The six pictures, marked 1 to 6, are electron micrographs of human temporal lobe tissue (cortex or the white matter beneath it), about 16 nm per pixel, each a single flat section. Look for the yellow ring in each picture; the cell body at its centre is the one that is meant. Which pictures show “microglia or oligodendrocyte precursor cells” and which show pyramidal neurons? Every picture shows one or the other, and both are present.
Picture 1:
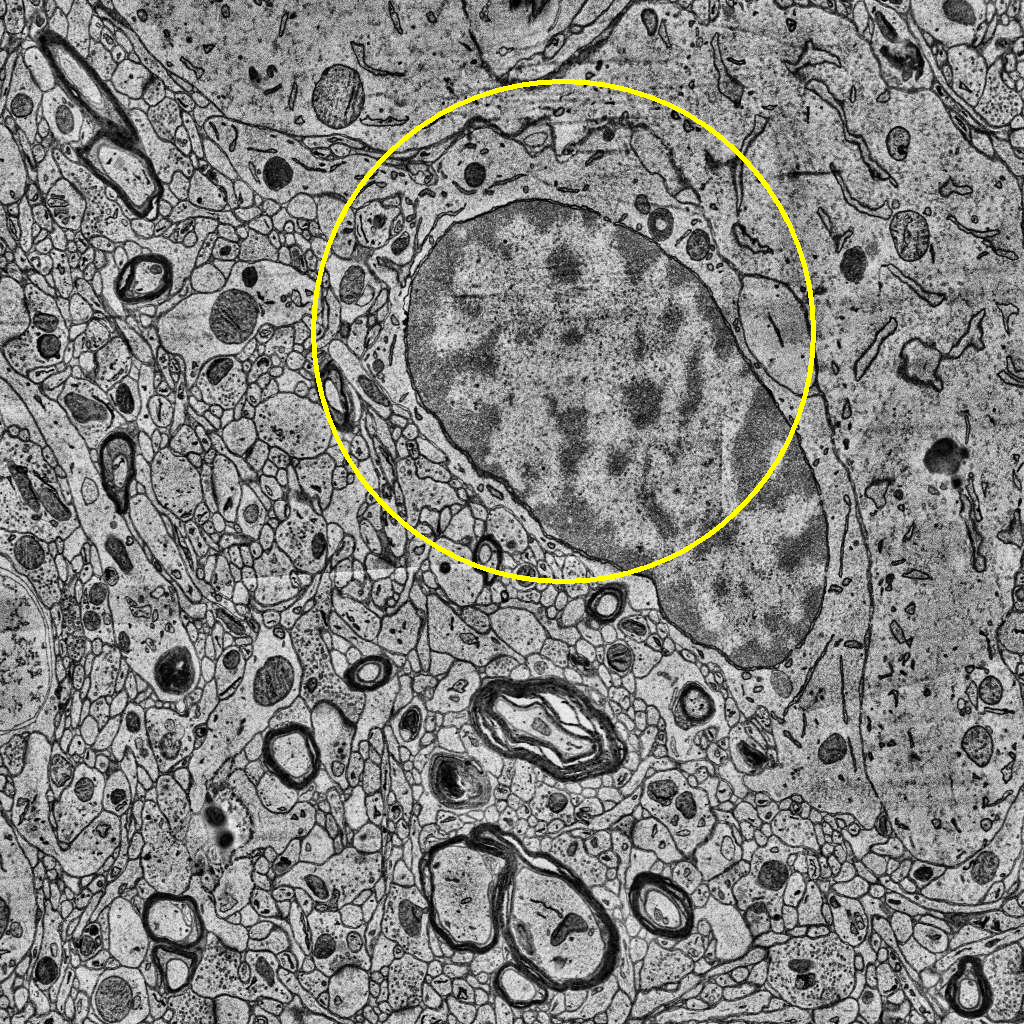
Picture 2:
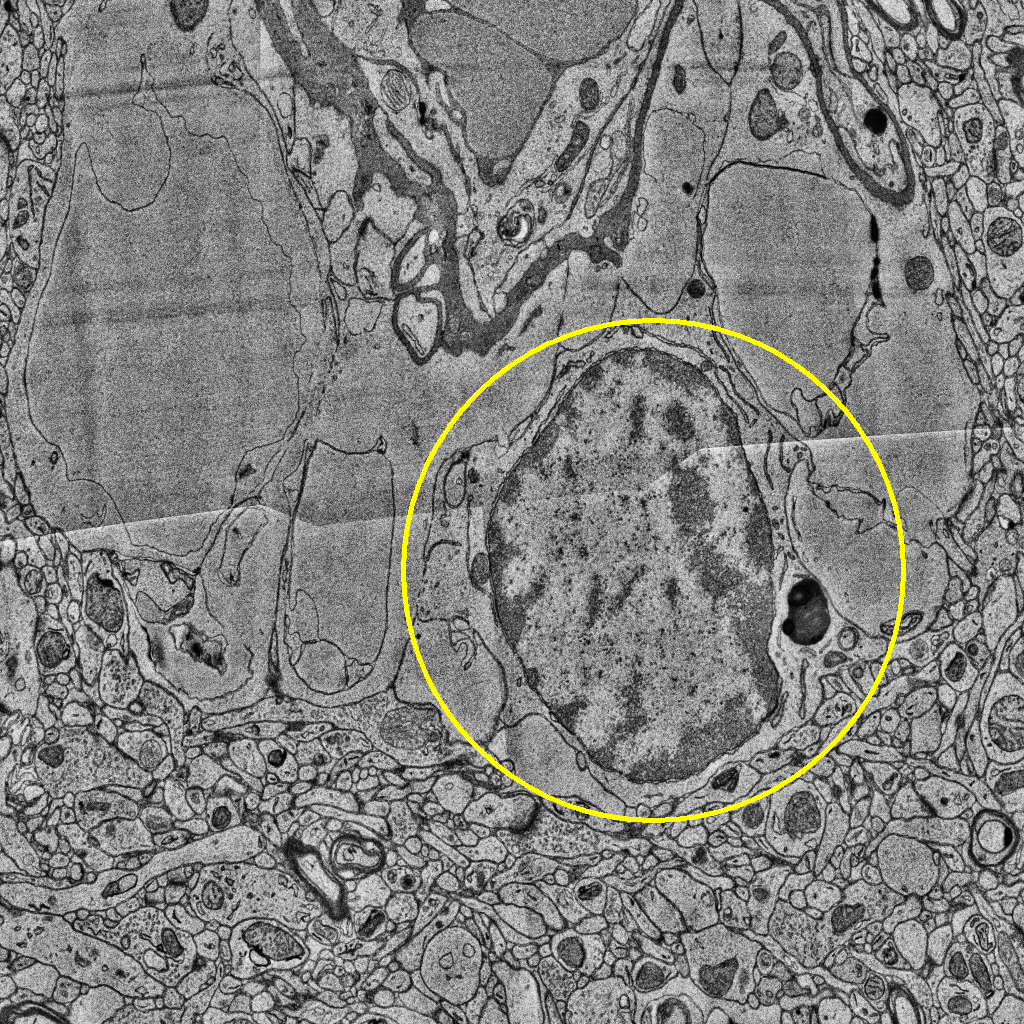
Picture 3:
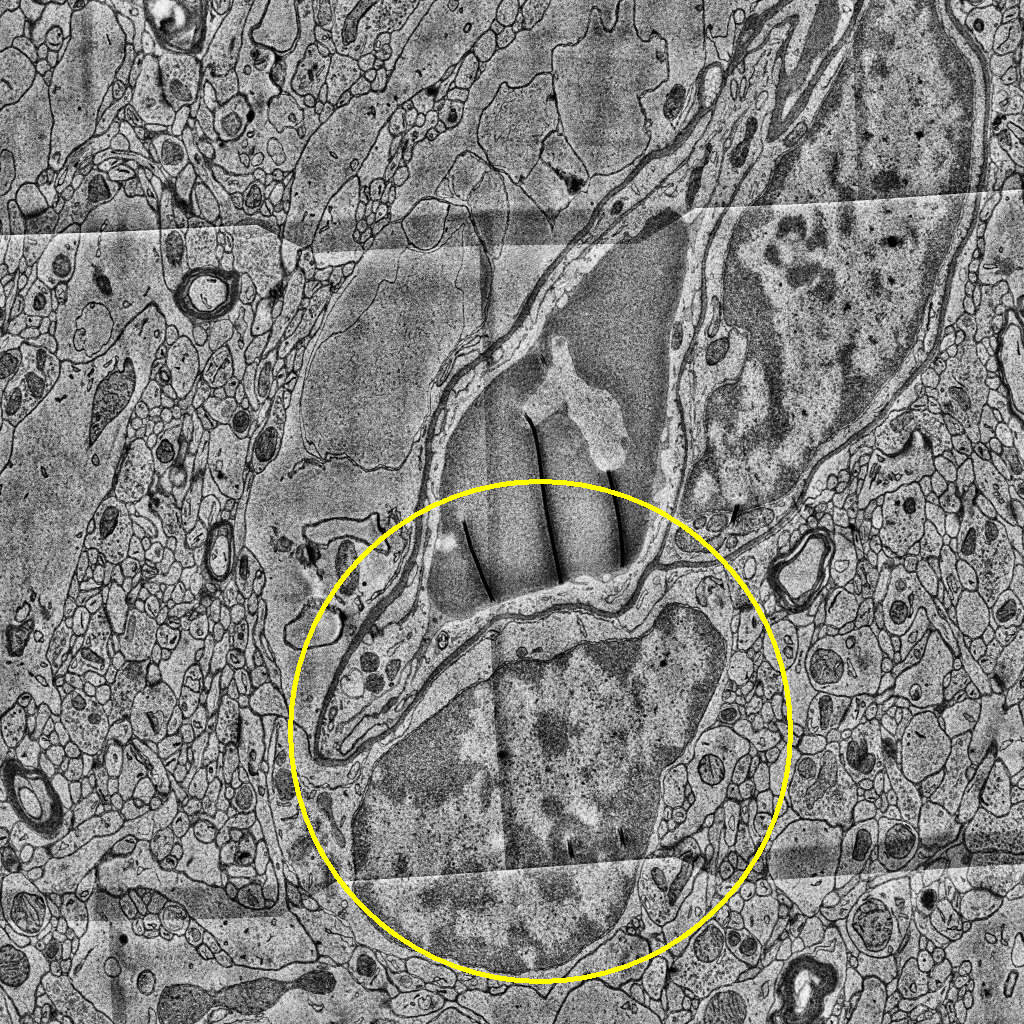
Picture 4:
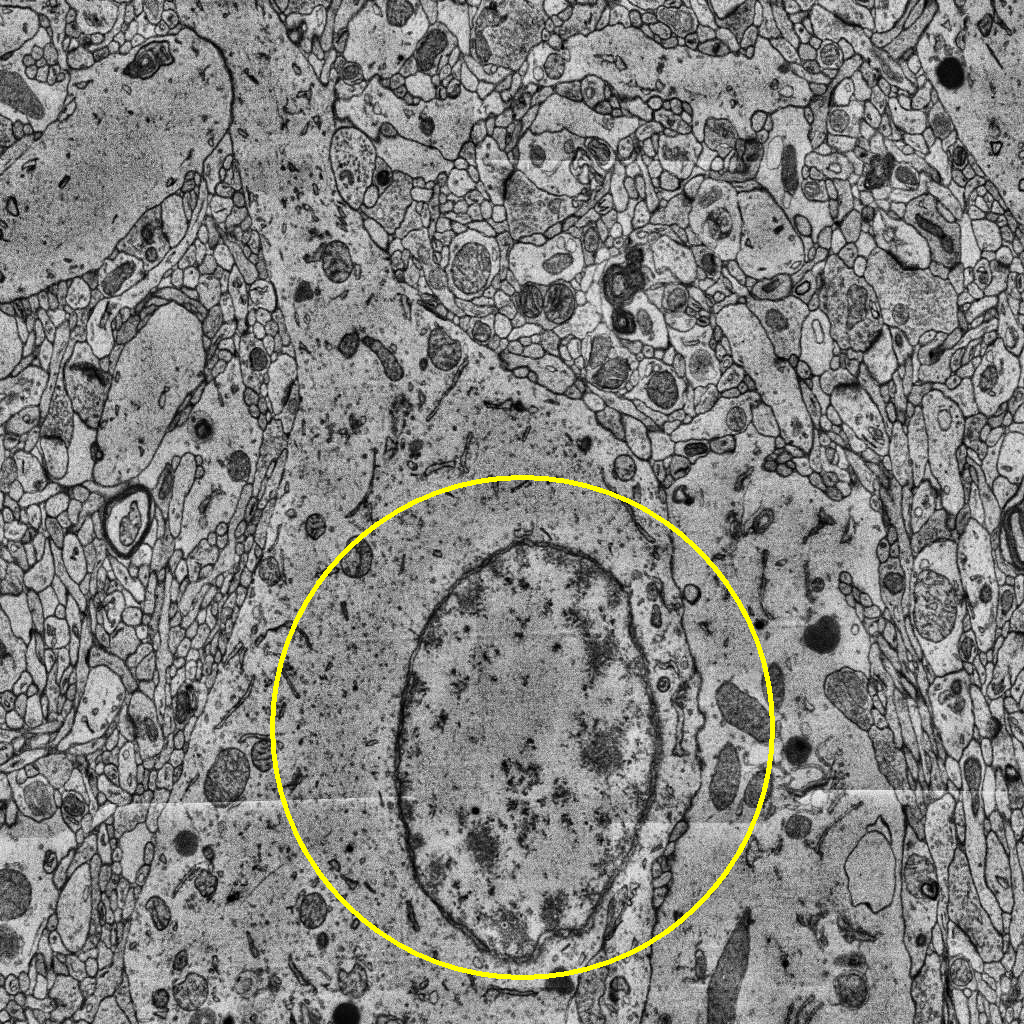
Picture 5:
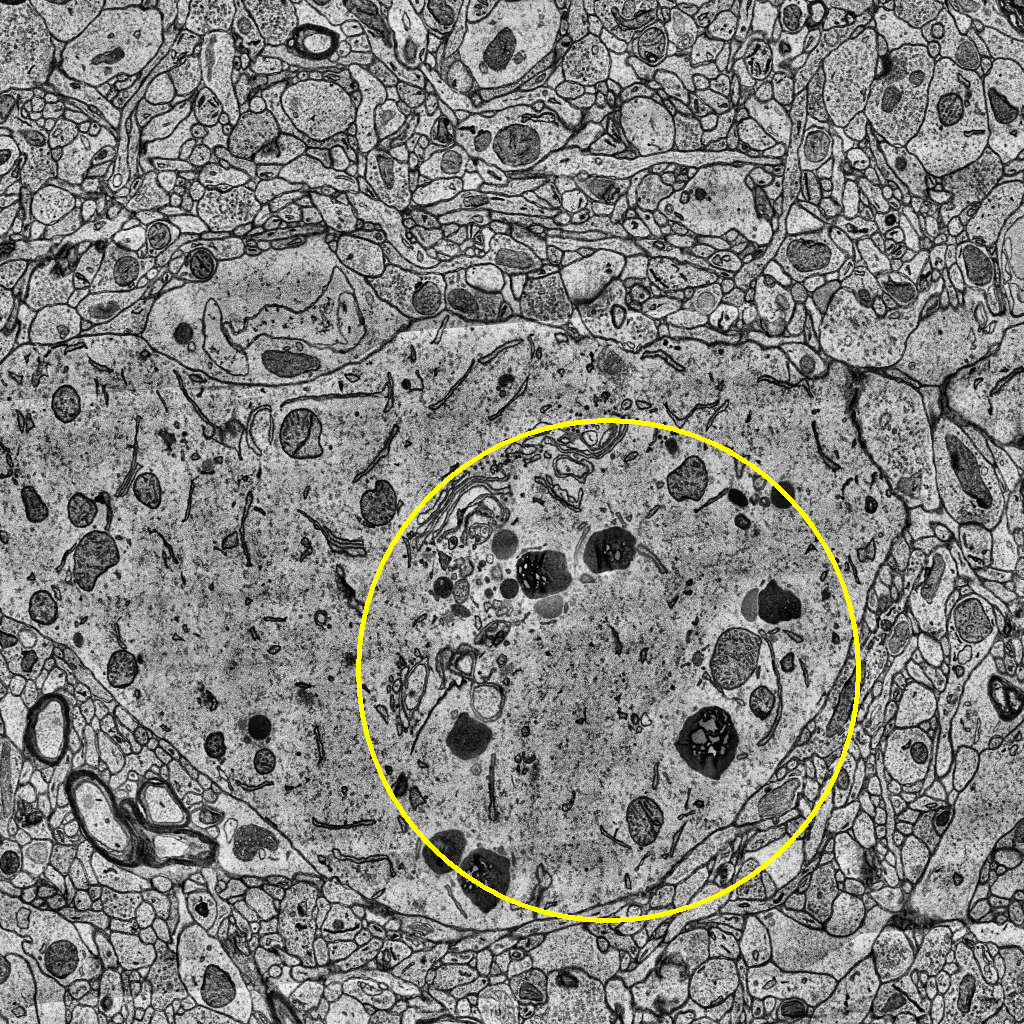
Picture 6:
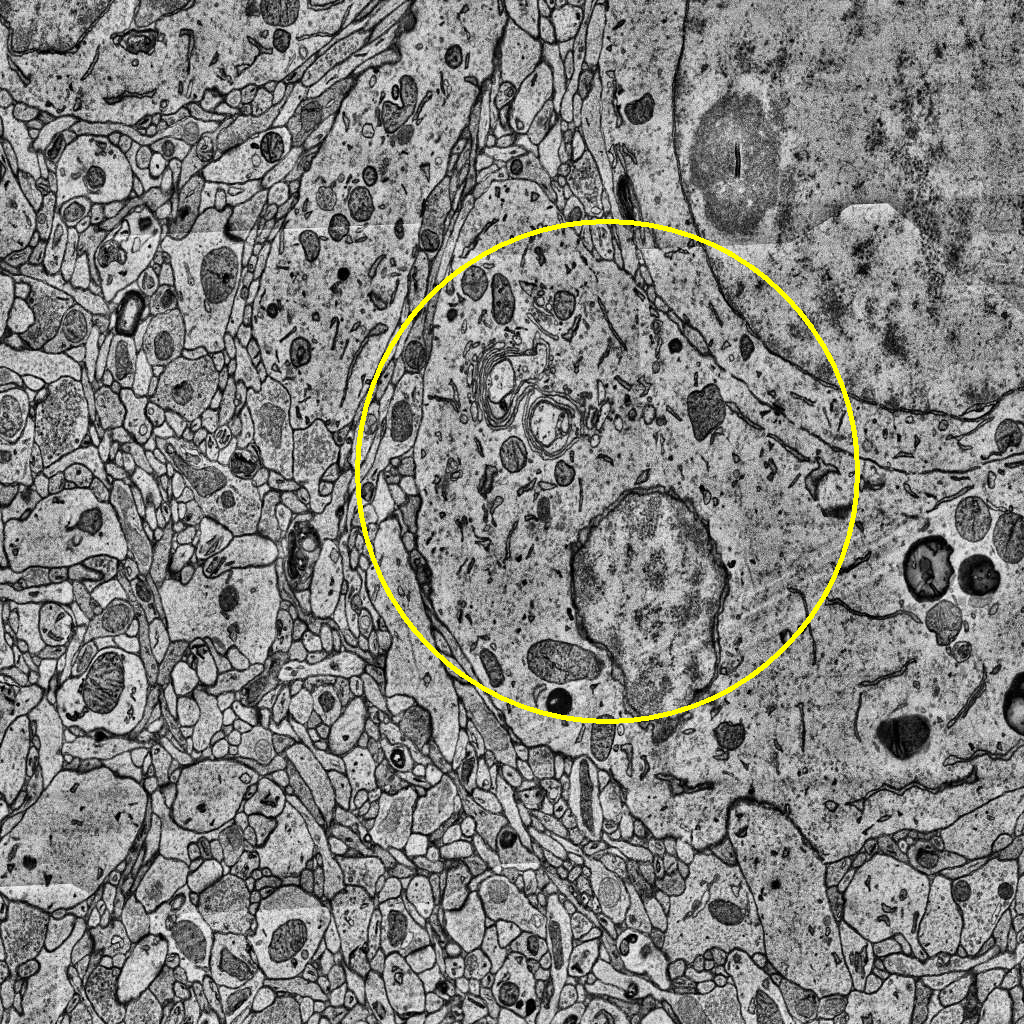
Pictures 1, 2 and 3 show “microglia or oligodendrocyte precursor cells”; pictures 4, 5 and 6 show pyramidal neurons.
